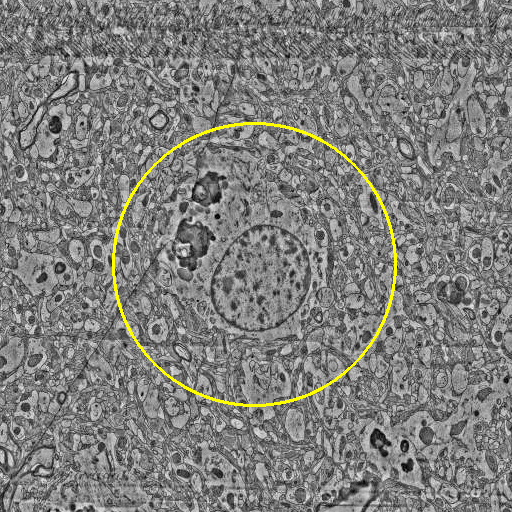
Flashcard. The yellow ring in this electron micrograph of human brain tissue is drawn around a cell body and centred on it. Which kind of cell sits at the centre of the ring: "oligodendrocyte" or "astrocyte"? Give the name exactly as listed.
astrocyte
